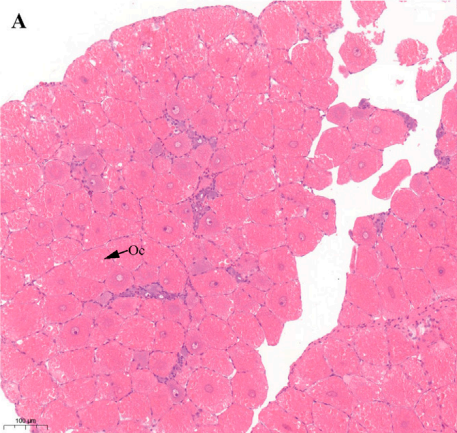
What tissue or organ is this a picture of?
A: Ovary.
